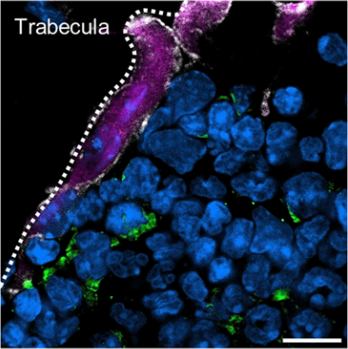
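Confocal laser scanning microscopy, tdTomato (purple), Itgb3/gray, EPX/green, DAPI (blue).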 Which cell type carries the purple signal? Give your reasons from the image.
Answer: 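A large elongated purple cell lies flat along the dotted bone edge. Several blue nuclei lie within the purple cell body.
Answer: Polynucleated osteoclasts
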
